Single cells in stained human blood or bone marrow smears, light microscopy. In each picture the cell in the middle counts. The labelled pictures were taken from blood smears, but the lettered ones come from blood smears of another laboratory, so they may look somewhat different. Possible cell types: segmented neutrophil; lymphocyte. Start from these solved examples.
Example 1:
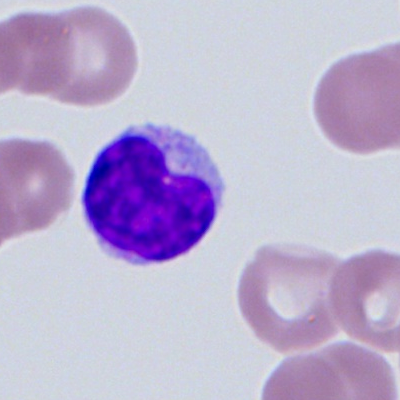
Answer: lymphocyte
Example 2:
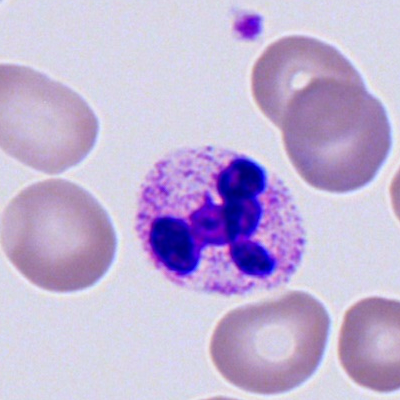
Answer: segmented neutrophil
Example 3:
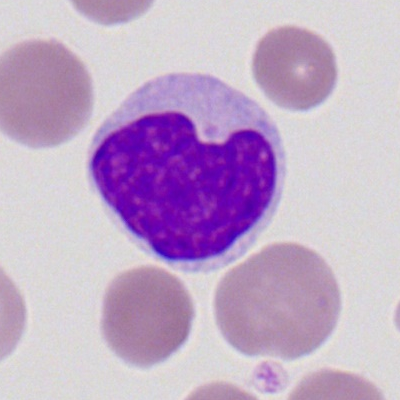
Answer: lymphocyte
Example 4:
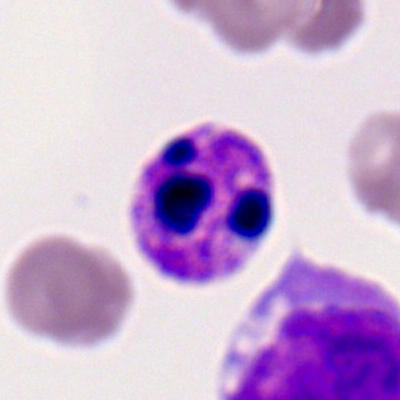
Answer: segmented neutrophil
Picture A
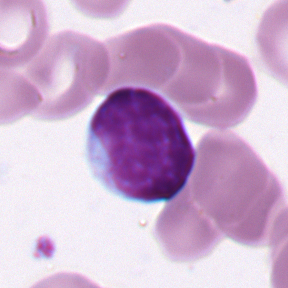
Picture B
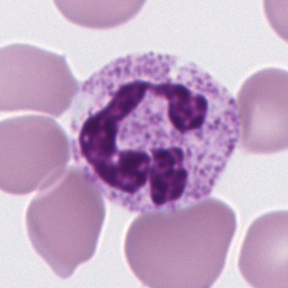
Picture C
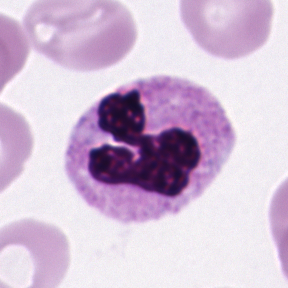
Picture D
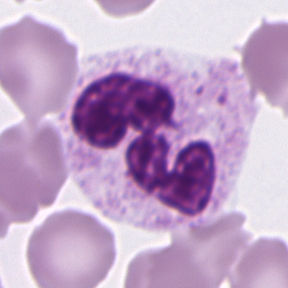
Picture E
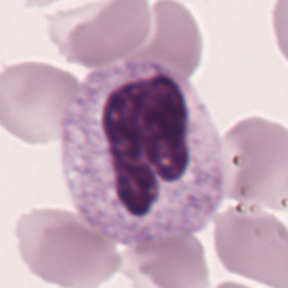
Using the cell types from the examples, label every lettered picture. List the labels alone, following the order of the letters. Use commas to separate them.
lymphocyte, segmented neutrophil, segmented neutrophil, segmented neutrophil, segmented neutrophil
